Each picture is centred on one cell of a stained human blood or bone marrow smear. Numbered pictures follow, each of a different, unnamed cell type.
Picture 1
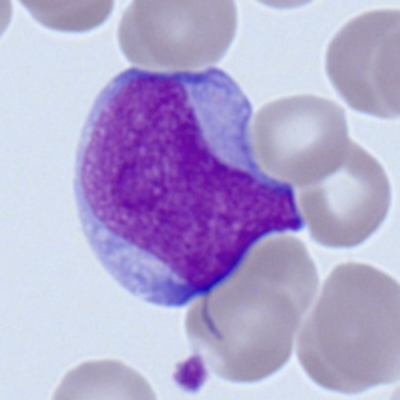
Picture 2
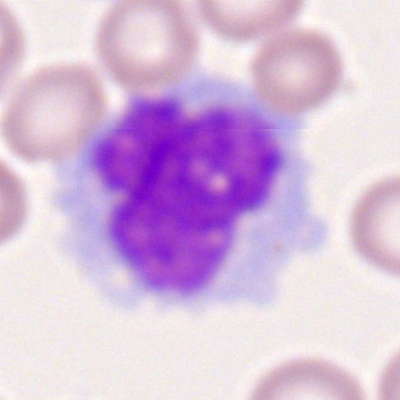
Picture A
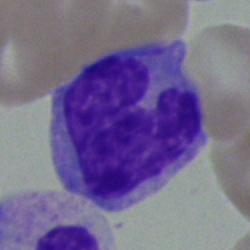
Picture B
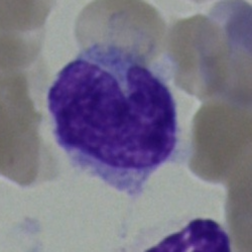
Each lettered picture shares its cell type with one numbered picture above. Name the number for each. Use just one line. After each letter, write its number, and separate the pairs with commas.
A 2, B 2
